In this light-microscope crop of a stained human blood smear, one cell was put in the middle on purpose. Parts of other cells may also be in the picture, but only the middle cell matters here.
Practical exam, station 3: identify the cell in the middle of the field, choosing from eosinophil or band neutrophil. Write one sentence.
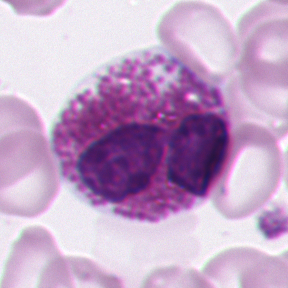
On this slide crop, the central cell is an eosinophil.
